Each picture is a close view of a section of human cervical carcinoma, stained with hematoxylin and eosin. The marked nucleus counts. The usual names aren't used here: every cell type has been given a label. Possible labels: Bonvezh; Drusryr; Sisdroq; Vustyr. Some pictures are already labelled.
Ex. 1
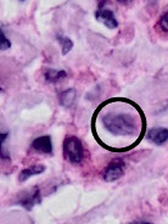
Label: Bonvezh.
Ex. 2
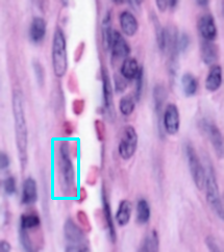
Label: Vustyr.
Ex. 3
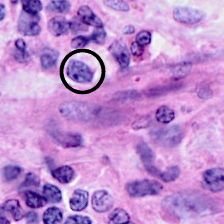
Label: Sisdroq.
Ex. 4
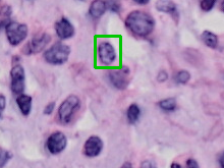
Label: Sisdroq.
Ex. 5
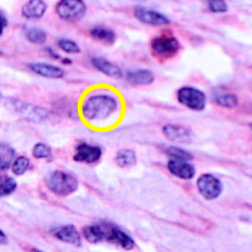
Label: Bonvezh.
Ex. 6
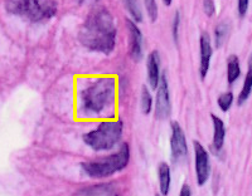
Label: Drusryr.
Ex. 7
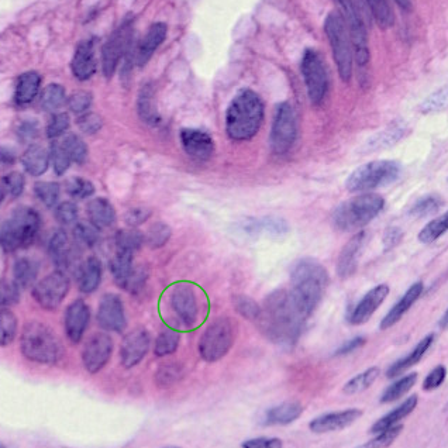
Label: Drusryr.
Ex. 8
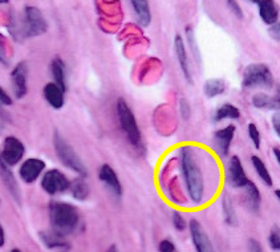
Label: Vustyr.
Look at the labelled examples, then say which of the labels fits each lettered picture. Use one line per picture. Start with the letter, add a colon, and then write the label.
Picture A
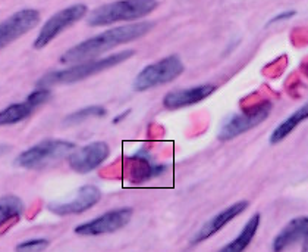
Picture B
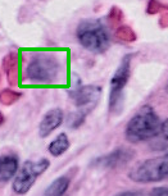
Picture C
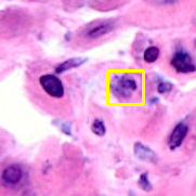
A: Vustyr.
B: Vustyr.
C: Bonvezh.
